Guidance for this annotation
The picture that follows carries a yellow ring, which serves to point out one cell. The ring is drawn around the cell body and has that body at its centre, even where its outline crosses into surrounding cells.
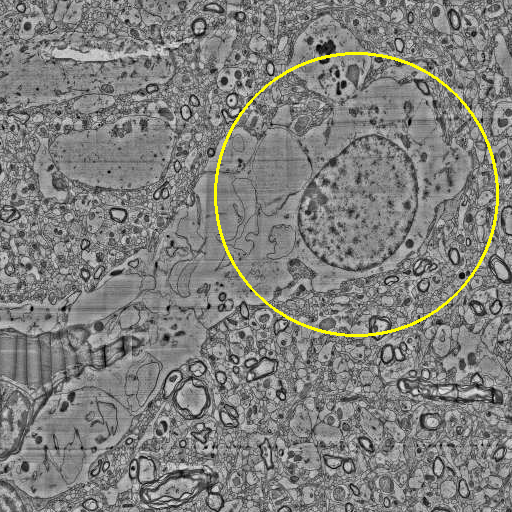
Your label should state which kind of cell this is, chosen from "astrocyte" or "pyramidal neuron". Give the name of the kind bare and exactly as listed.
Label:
astrocyte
